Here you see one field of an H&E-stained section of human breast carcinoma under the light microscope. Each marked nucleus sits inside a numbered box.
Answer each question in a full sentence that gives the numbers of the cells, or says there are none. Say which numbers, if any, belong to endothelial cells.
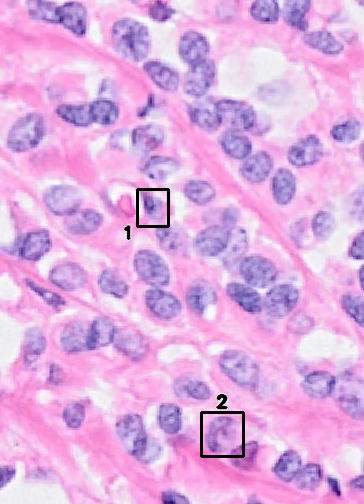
Of those with numbers, only cell 1 is an endothelial cell.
